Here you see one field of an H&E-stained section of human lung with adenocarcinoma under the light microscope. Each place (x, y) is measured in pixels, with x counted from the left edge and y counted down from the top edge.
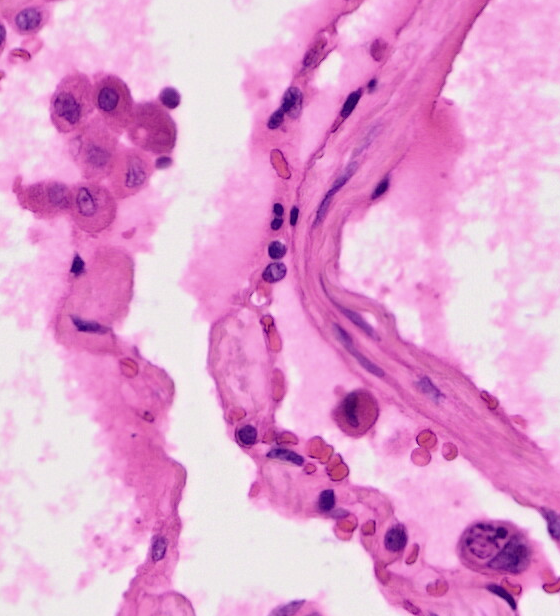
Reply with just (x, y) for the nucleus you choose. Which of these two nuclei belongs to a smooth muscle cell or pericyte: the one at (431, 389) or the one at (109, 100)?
(431, 389)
